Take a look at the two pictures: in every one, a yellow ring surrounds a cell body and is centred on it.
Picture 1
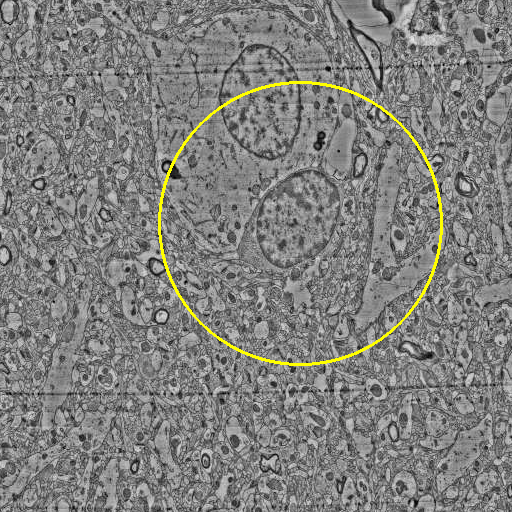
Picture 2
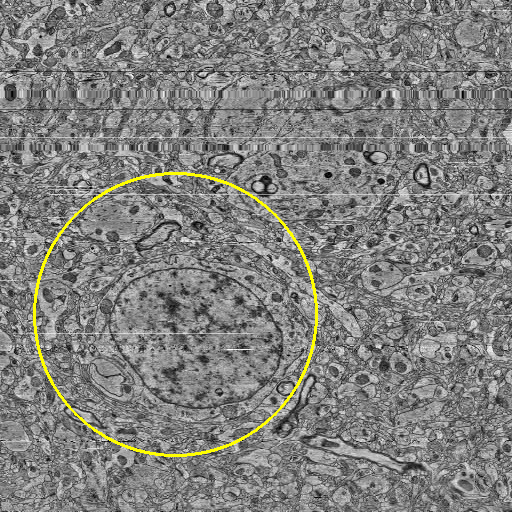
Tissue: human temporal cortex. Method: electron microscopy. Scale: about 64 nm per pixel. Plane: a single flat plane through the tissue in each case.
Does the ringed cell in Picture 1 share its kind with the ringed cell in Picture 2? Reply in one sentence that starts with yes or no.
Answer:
No, the two centred cells, one per picture, are of two kinds.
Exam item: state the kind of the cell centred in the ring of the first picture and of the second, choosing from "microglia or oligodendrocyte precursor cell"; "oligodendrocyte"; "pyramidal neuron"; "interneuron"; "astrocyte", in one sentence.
The first picture shows an oligodendrocyte at the ring centre and the second shows a pyramidal neuron.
